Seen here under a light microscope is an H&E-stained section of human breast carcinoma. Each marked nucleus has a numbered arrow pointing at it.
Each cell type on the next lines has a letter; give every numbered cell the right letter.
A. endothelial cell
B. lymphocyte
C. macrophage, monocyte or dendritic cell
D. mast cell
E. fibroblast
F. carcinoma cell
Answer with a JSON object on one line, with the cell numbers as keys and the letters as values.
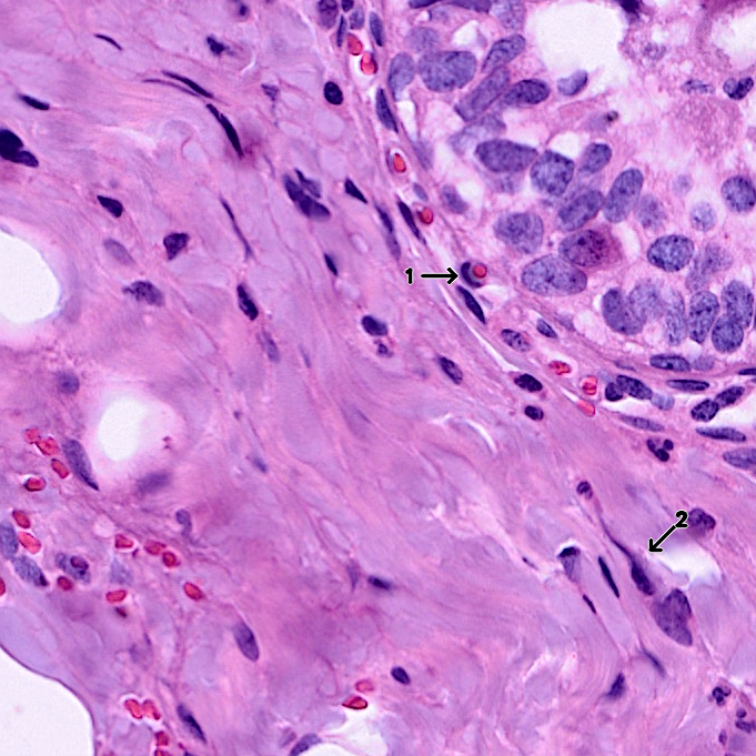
{"1": "A", "2": "E"}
